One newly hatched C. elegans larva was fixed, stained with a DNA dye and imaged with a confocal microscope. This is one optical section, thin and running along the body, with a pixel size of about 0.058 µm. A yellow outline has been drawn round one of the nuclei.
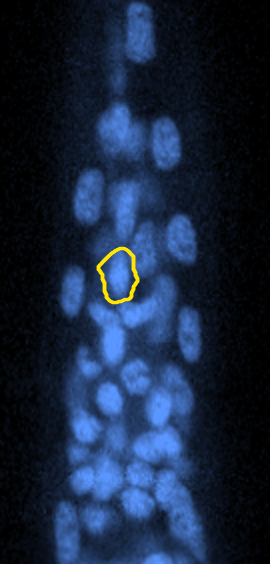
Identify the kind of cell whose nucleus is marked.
neuron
